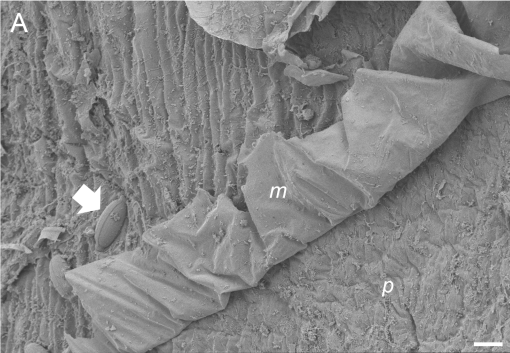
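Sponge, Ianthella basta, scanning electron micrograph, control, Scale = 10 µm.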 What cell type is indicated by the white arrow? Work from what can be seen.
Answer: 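The arrow points to a small elongated oval body with a smooth rim. The body lies on the surface beside the sheet-like layer.
Answer: a diatom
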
